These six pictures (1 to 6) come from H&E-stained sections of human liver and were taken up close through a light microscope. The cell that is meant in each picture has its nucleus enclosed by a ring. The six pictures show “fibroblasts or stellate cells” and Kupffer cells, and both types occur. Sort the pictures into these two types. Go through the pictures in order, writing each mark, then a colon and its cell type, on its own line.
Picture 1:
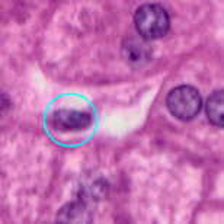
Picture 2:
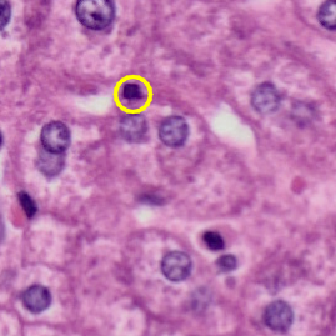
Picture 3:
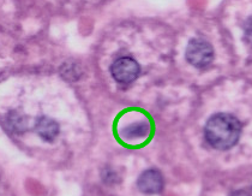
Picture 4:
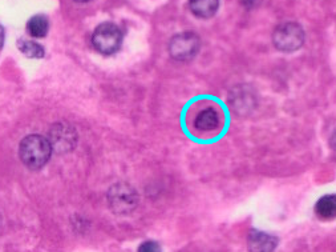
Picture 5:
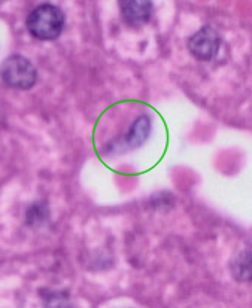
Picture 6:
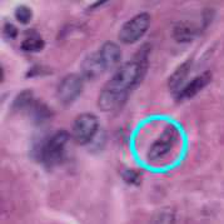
1: Kupffer cell
2: fibroblast or stellate cell
3: Kupffer cell
4: fibroblast or stellate cell
5: Kupffer cell
6: fibroblast or stellate cell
